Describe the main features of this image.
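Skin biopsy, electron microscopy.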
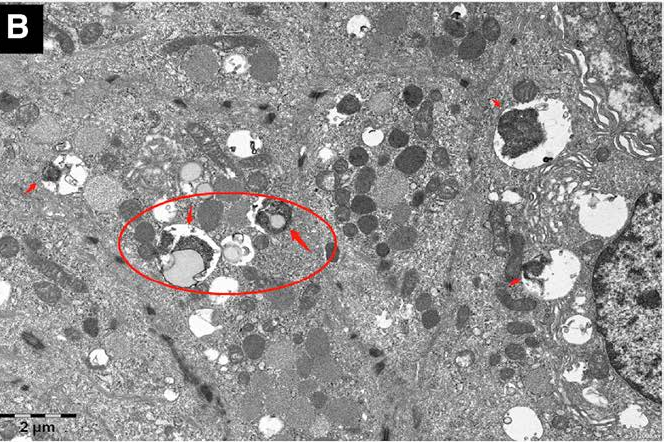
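Epithelial cells of a gland fill the field, their cytoplasm crowded with dark round mitochondria, pale vacuoles and stacked membrane folds, with nuclei at the edges. Scattered through the cytoplasm are membrane-bound bodies holding dark granular material with clear spaces and halos, several gathered in the red ellipse and others marked by red arrows. These are granular osmiophilic deposits and lipofuscin within the cytoplasm of glandular epithelial cells.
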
